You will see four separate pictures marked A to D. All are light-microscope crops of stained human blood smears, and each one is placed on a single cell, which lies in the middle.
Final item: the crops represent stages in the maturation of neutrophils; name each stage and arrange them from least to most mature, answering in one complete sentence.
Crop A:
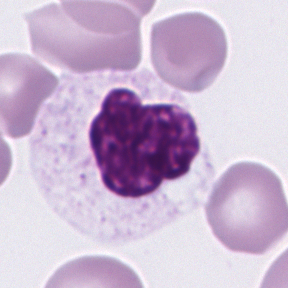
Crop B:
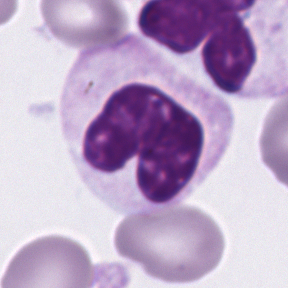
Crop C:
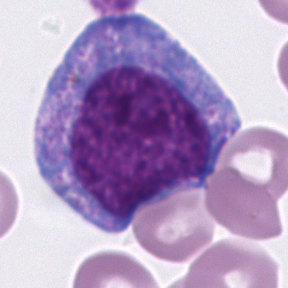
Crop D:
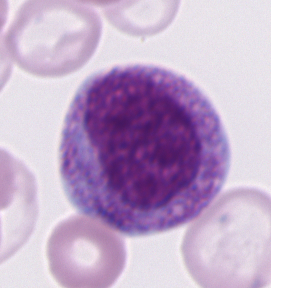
The maturity ranking, beginning with the least mature, is crop C (a promyelocyte), crop D (a myelocyte), crop B (a band neutrophil) and crop A (a segmented neutrophil).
